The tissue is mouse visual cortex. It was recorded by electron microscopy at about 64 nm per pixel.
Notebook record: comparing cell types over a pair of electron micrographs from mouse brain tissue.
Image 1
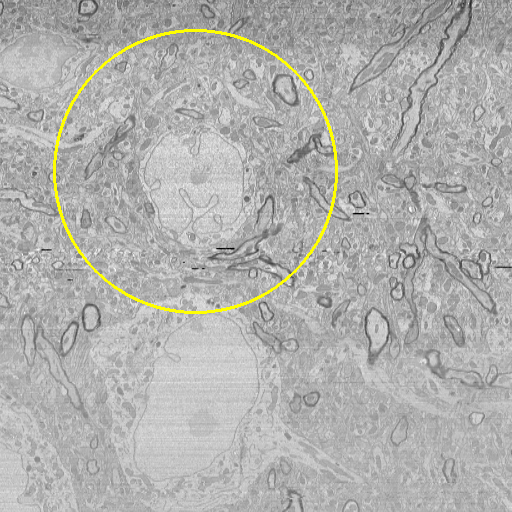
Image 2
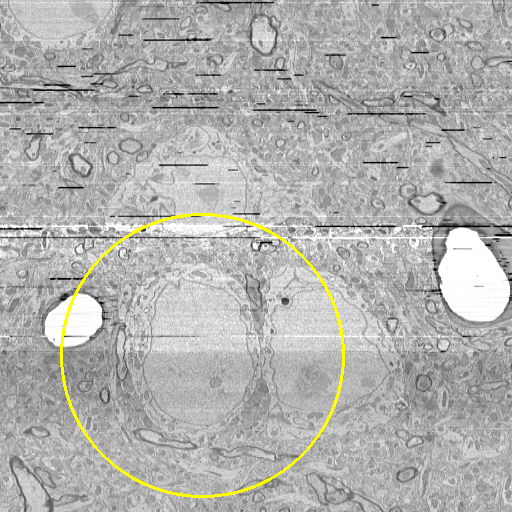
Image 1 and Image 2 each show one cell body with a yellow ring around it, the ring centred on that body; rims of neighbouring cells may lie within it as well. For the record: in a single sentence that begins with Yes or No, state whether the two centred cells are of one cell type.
Yes, one cell type is shared by the centred cells of Image 1 and Image 2.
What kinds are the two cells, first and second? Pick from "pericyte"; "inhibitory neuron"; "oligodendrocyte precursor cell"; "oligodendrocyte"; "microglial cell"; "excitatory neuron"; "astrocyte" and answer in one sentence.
The ring centre holds an inhibitory neuron in each of the two pictures.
